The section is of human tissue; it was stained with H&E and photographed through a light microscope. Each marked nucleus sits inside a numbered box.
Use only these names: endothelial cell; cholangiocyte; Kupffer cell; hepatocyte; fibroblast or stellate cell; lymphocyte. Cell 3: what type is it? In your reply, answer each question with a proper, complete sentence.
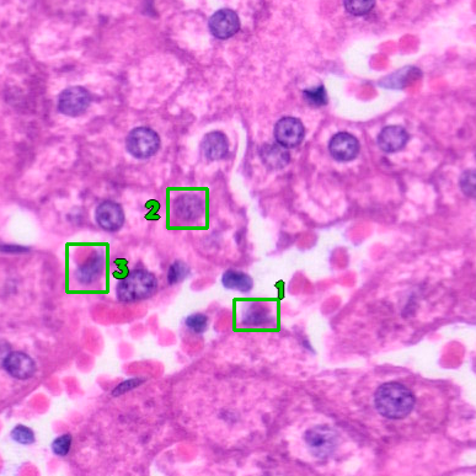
The cell carrying label 3 is identified as an endothelial cell.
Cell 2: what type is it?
The nucleus labeled 2 belongs to a hepatocyte.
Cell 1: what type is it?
Numbered cell 1 is an endothelial cell in this tissue section.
